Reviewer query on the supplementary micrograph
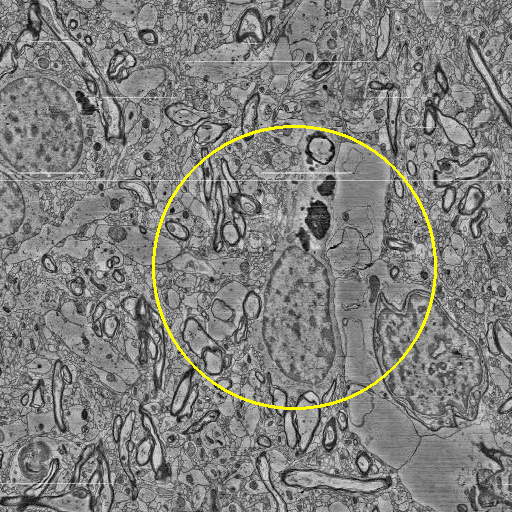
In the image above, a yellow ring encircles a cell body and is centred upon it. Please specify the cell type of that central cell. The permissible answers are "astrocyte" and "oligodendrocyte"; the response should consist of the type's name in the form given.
oligodendrocyte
